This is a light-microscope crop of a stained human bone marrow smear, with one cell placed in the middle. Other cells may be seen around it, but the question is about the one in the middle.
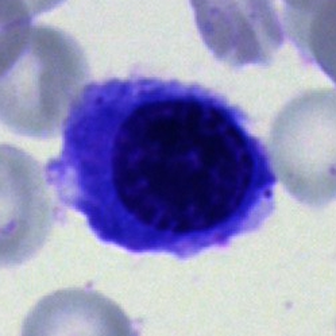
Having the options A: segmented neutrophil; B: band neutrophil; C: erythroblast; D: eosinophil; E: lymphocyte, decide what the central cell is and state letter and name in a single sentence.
In the centre of the crop there is an erythroblast, making option C correct.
